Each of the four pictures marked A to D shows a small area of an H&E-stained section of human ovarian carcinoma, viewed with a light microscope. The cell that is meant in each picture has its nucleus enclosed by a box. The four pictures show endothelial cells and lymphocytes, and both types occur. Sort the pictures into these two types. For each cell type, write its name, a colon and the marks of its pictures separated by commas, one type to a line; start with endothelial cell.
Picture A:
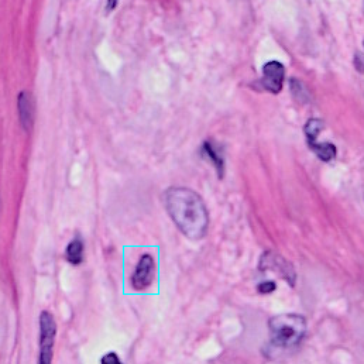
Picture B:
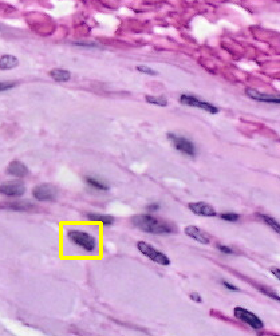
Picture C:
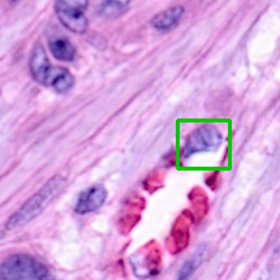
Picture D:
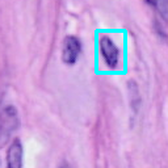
endothelial cell: C
lymphocyte: A, B, D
